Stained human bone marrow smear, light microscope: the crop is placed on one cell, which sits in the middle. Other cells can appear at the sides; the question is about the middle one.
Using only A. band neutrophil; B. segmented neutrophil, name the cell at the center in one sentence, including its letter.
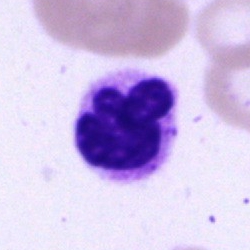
Option B is correct; the cell in the middle is a segmented neutrophil.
